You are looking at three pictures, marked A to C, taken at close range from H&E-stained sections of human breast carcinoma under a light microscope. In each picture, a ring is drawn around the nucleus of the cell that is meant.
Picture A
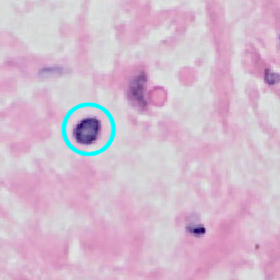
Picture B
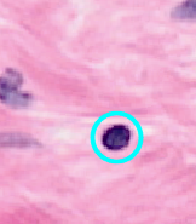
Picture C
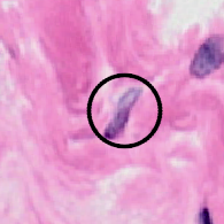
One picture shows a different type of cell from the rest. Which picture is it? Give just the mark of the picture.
C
